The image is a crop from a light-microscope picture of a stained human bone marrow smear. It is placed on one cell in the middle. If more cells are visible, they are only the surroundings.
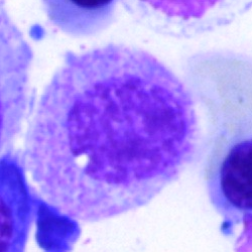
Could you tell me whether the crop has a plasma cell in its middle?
no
